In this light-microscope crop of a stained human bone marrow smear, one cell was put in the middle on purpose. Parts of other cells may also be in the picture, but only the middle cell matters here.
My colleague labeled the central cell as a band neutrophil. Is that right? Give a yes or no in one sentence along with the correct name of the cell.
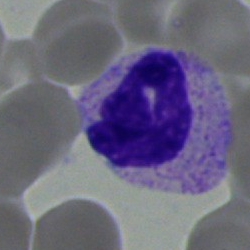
Yes, that is right: the middle cell is a band neutrophil.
